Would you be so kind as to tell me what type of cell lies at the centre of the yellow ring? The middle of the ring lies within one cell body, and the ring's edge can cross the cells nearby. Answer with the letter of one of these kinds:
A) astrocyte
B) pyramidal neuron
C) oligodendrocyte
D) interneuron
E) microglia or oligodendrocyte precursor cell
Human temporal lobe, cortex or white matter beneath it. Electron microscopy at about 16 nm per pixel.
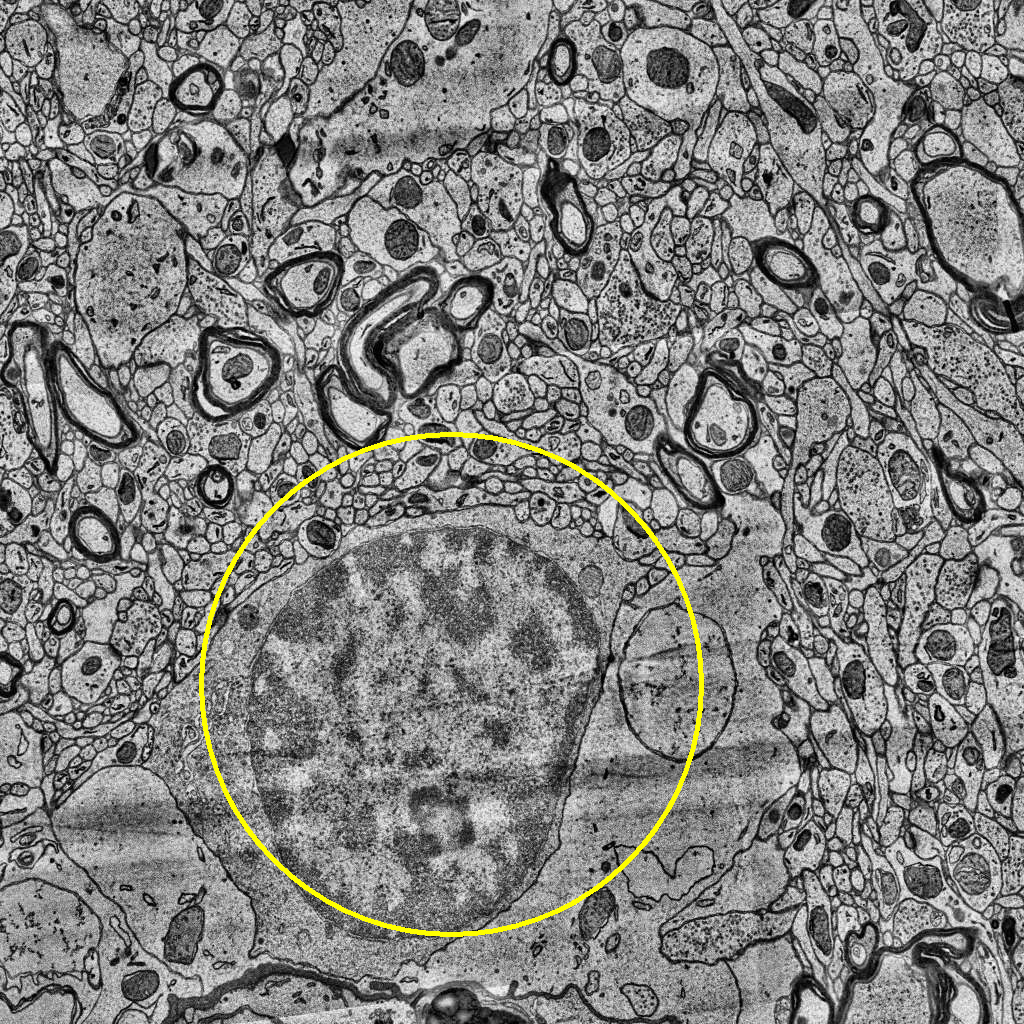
C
